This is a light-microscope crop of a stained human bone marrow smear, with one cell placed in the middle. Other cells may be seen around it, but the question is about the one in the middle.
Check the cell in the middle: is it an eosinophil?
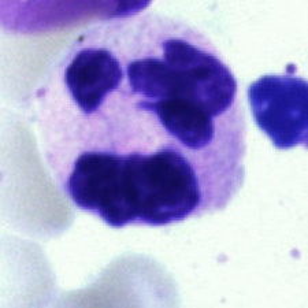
no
